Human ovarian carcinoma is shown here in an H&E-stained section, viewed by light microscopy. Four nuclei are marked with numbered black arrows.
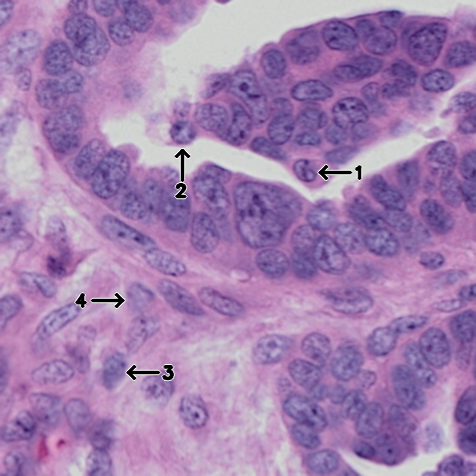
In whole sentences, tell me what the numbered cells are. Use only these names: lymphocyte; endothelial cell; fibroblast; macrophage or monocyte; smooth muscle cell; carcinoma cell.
Cell 1 is a macrophage or monocyte, cell 2 is a macrophage or monocyte, cell 3 is a fibroblast and cell 4 is a fibroblast.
